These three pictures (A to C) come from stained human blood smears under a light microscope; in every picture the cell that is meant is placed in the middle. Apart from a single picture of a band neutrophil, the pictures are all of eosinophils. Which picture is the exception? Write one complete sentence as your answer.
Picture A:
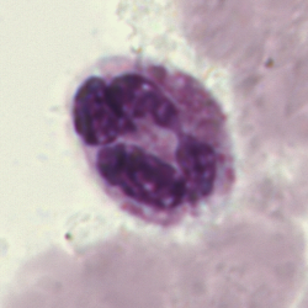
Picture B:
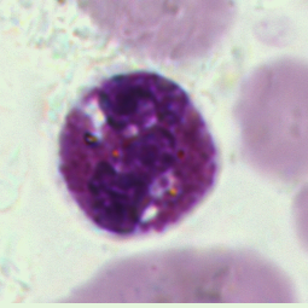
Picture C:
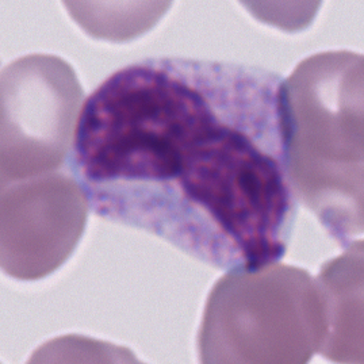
Picture C is the one that shows the band neutrophil.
